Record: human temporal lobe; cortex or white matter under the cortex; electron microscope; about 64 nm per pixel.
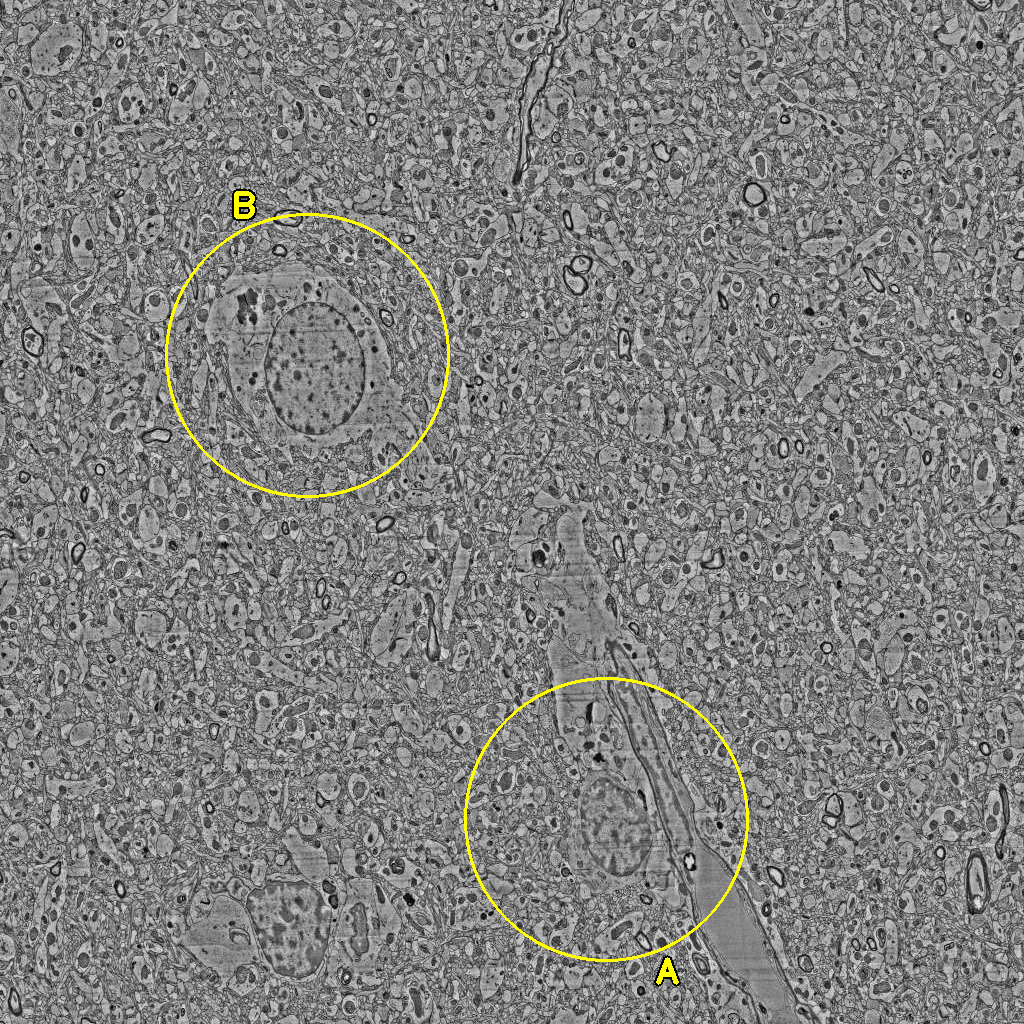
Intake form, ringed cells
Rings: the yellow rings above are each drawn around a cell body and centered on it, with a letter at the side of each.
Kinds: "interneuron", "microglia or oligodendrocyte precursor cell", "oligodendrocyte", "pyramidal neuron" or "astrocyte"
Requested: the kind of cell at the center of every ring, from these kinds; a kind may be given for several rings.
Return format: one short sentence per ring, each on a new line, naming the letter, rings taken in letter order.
In the center of ring A there is an oligodendrocyte.
In the center of ring B there is an astrocyte.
